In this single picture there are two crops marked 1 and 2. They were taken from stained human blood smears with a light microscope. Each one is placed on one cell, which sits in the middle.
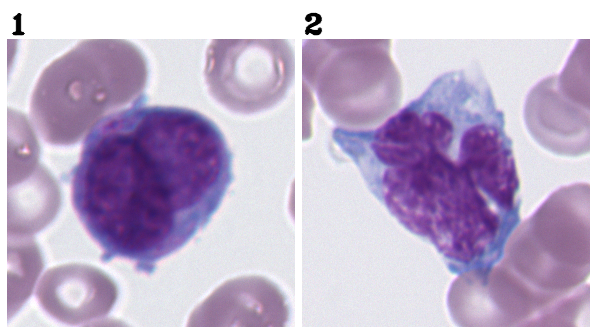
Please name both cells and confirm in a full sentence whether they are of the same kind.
No, as for crop 1, it shows an atypical promyelocyte, and crop 2 shows a monocyte.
